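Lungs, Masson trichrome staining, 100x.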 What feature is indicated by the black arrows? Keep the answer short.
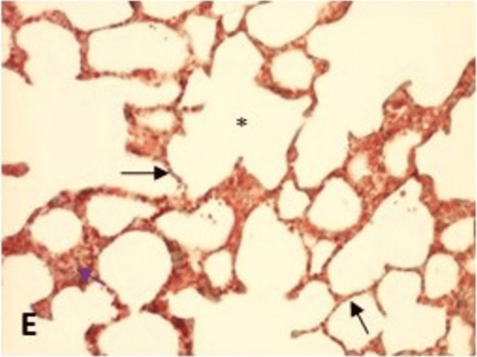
Alveolar septum.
